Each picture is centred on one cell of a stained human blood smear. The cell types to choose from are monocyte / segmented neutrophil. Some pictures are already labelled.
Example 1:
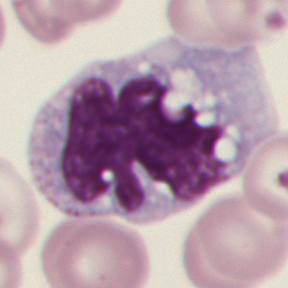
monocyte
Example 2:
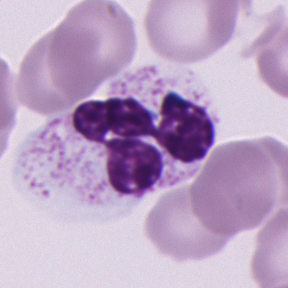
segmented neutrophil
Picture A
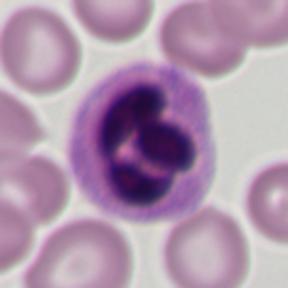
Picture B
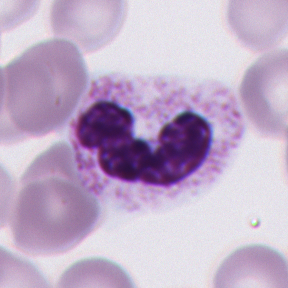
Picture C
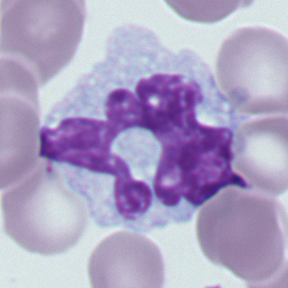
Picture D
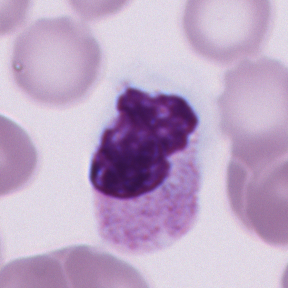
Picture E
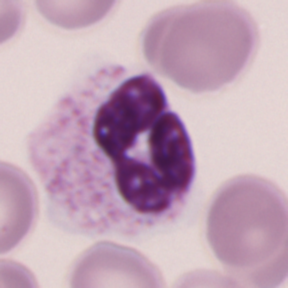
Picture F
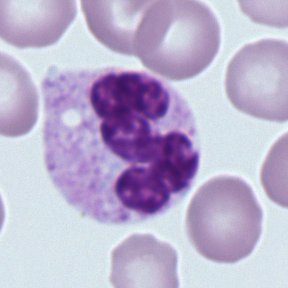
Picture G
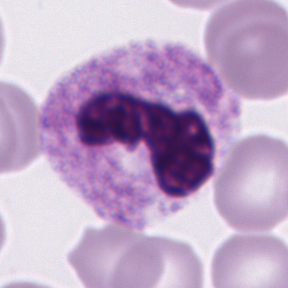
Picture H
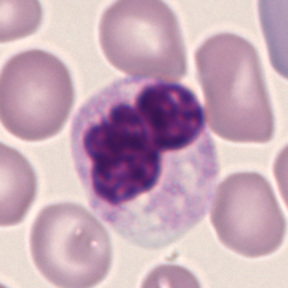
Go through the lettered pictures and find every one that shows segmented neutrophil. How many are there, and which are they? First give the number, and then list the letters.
7: A, B, D, E, F, G, H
